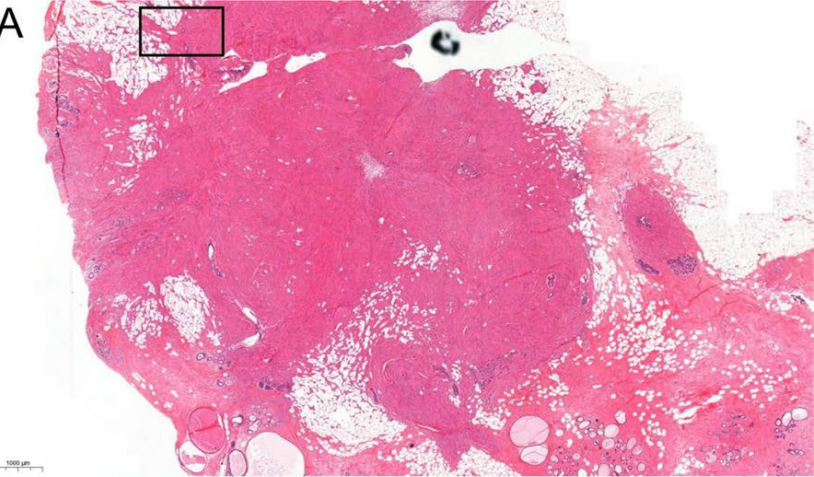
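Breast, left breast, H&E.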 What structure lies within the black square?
infiltrative margin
